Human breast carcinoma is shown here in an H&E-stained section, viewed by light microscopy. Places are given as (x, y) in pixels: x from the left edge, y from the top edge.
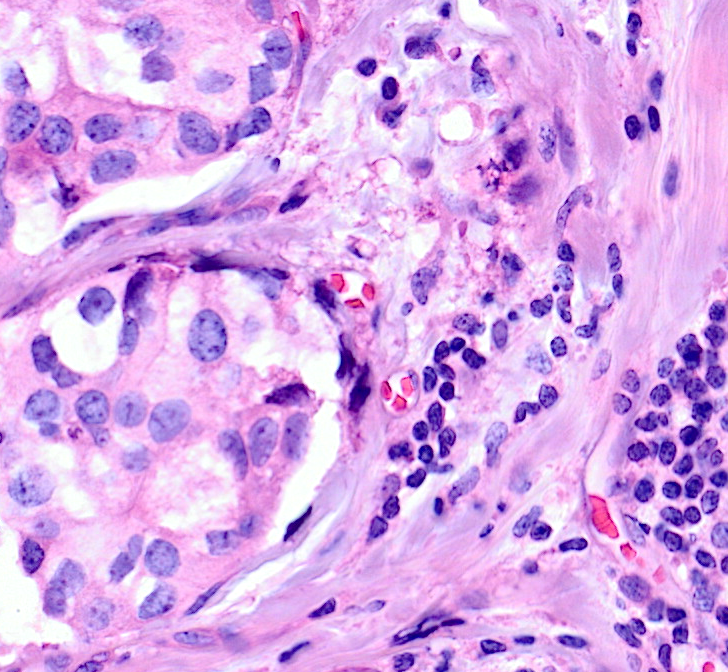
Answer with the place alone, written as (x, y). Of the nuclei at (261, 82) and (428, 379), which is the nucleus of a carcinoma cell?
(261, 82)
